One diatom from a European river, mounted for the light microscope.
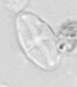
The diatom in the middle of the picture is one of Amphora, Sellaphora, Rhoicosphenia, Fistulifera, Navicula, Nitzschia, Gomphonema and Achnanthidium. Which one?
Sellaphora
